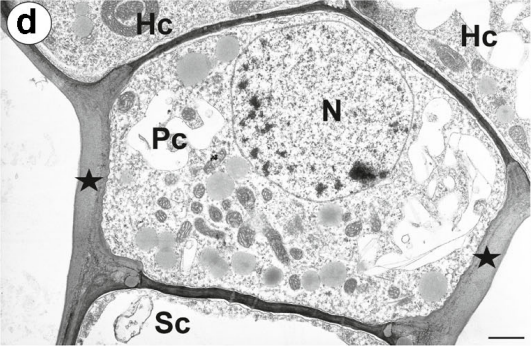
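Trichome cell sits between head cells above and a stalk cell below, with a large round nucleus showing dark clumped chromatin and a dense nucleolus. The cytoplasm is dense, packed with round grey lipid bodies, mitochondria and small vacuoles with membrane remnants. Its lateral walls are very thick and evenly grey, while the walls toward the head and stalk cells are thin and dark.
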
